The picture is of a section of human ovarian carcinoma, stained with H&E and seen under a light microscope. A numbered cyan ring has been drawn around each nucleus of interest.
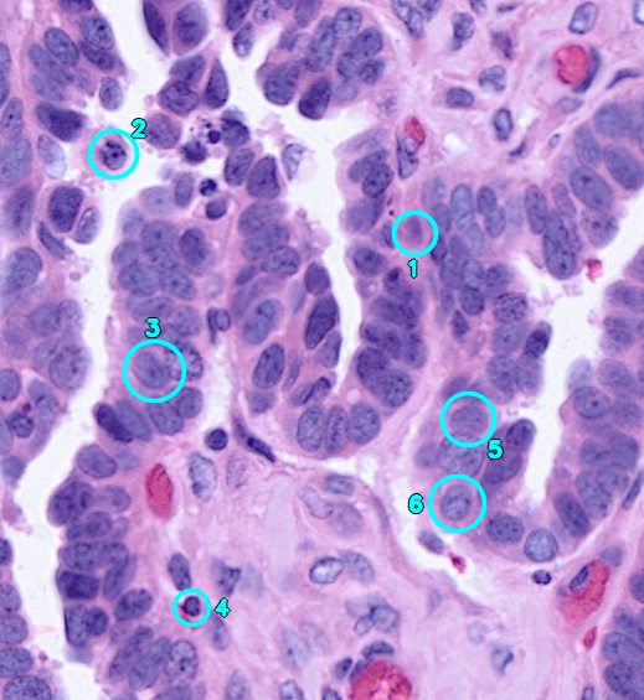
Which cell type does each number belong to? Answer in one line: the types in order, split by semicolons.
carcinoma cell; macrophage or monocyte; carcinoma cell; lymphocyte; carcinoma cell; carcinoma cell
